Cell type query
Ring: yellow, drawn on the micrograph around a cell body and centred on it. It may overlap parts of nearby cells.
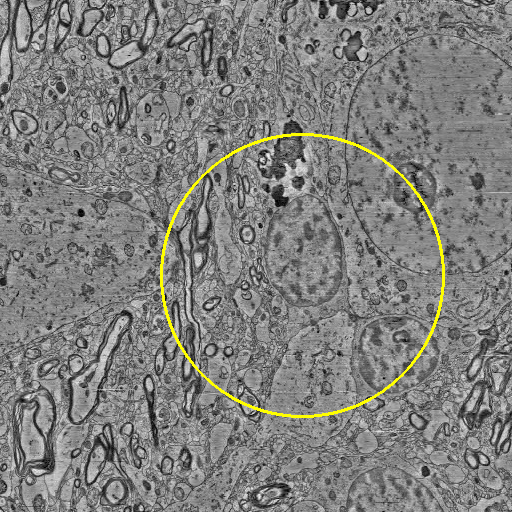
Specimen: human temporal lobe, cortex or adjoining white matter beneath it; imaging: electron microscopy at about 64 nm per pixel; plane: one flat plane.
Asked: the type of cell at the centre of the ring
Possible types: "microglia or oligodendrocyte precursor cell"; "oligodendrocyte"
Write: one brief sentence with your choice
The ring marks an oligodendrocyte.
